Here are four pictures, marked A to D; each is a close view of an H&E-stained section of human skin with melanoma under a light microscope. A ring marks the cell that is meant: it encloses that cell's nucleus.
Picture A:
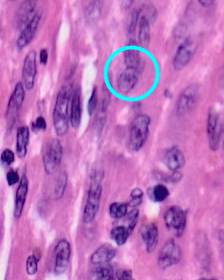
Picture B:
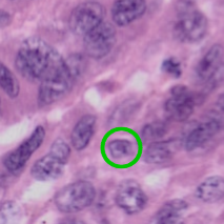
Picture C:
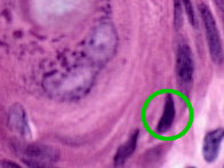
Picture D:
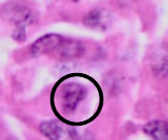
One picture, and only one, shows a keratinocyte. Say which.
C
